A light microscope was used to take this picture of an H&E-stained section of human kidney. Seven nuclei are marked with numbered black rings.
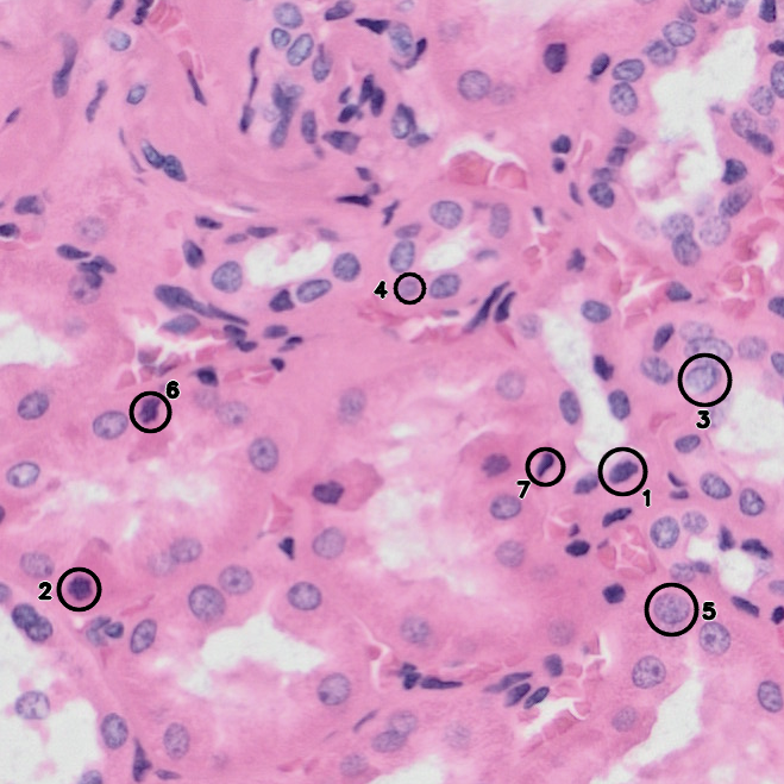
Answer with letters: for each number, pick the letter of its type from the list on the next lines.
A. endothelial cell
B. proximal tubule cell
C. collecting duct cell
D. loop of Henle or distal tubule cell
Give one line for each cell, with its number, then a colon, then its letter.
1: D
2: B
3: C
4: C
5: B
6: B
7: A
